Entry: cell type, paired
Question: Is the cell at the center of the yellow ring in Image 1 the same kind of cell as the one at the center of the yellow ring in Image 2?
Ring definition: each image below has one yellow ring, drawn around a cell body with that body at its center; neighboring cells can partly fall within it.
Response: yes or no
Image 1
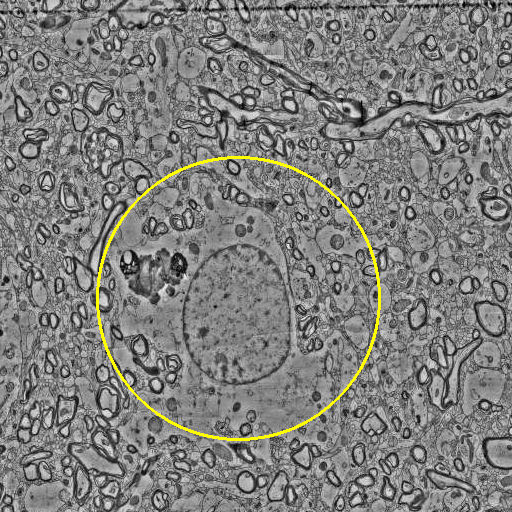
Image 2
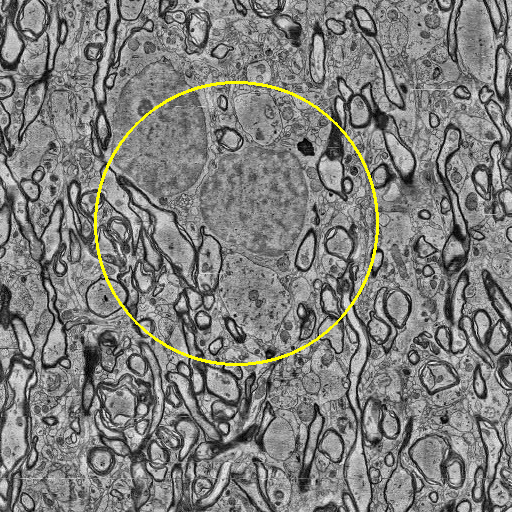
no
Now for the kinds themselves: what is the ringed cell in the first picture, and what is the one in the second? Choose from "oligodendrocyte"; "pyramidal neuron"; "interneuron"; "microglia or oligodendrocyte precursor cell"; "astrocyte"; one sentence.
Here the first cell is an astrocyte and the second cell is an oligodendrocyte.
